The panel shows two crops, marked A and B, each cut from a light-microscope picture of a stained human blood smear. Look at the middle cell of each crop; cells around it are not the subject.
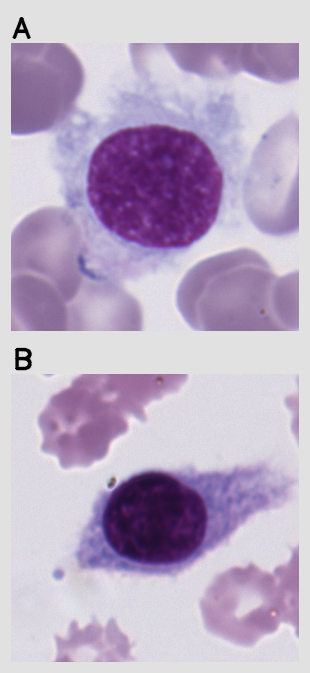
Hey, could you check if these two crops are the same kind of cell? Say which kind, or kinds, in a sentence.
Yes, what both crops show at their centres are hairy cells.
